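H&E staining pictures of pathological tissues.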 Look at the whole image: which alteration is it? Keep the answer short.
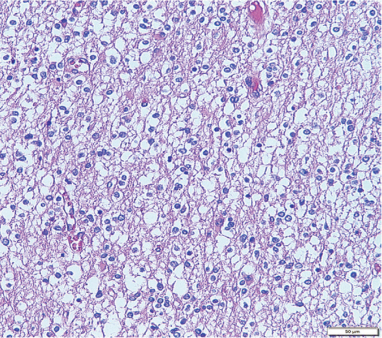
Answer: Oligodendroglioma.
